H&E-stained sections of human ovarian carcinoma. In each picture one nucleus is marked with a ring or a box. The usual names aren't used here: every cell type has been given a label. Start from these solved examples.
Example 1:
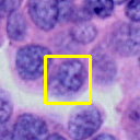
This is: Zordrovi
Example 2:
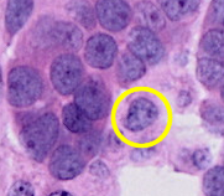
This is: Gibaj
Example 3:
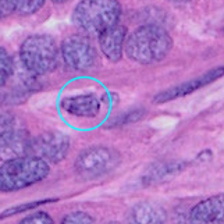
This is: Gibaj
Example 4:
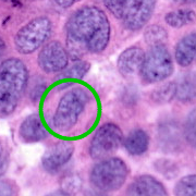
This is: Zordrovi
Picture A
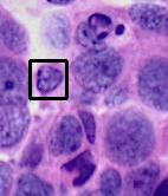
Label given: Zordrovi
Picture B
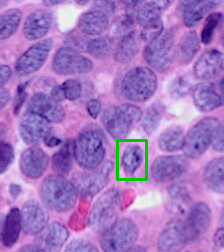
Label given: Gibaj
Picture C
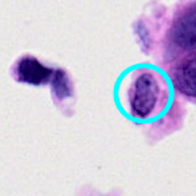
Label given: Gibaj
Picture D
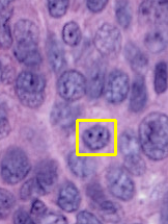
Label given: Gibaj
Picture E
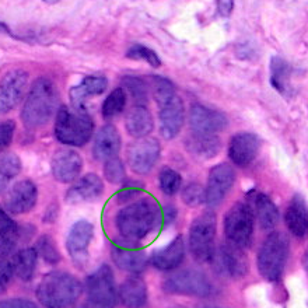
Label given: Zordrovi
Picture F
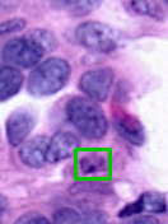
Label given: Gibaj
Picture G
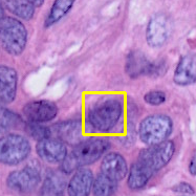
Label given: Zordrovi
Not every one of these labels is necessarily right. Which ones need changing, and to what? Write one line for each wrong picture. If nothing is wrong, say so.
A should be Gibaj, not Zordrovi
